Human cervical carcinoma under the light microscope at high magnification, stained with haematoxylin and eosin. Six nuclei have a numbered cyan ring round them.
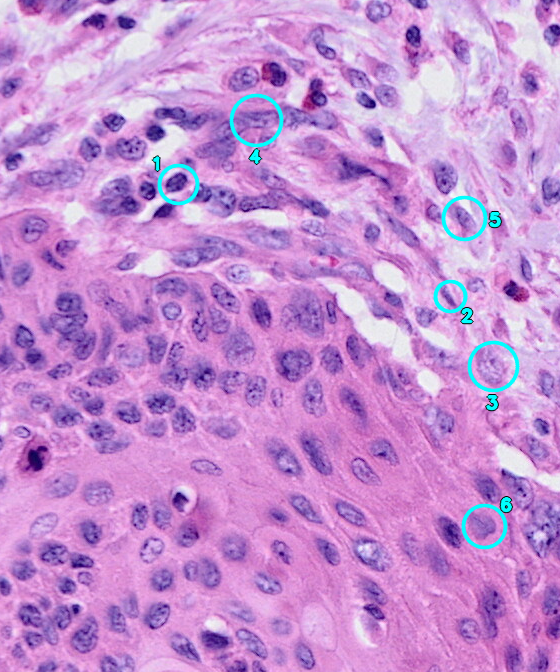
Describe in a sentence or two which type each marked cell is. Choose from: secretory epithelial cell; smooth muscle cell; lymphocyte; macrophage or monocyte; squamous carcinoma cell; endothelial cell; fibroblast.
Cell 1 is a lymphocyte. Cells 2, 3 and 5 are fibroblasts. Cell 4 is an endothelial cell. Cell 6 is a squamous carcinoma cell.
